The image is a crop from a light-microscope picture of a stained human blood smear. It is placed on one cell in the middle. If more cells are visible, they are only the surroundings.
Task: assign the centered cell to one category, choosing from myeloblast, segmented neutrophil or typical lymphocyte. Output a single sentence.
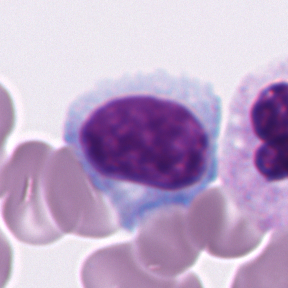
Present in the middle of the crop is a typical lymphocyte.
